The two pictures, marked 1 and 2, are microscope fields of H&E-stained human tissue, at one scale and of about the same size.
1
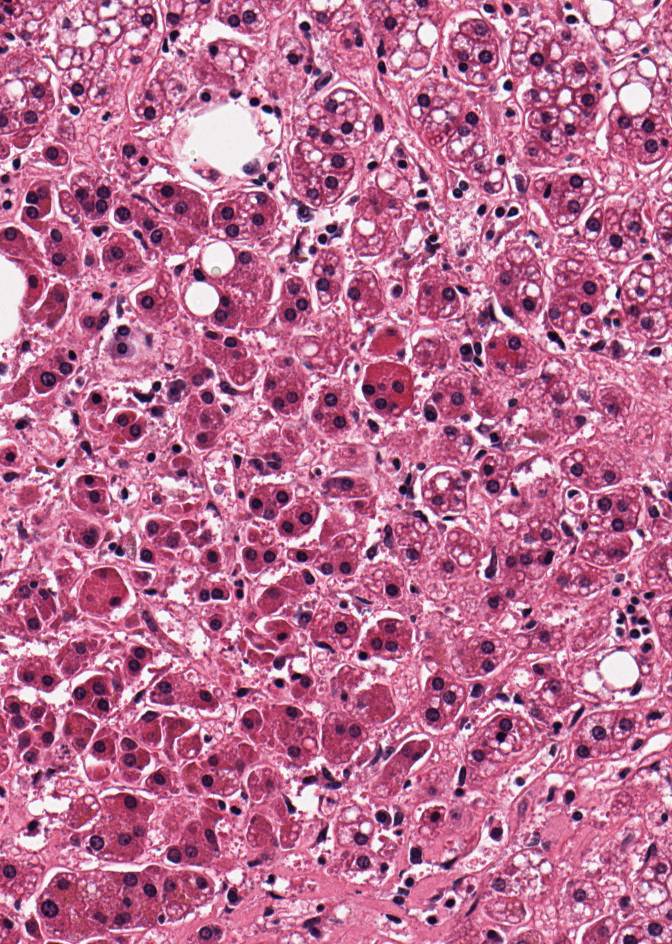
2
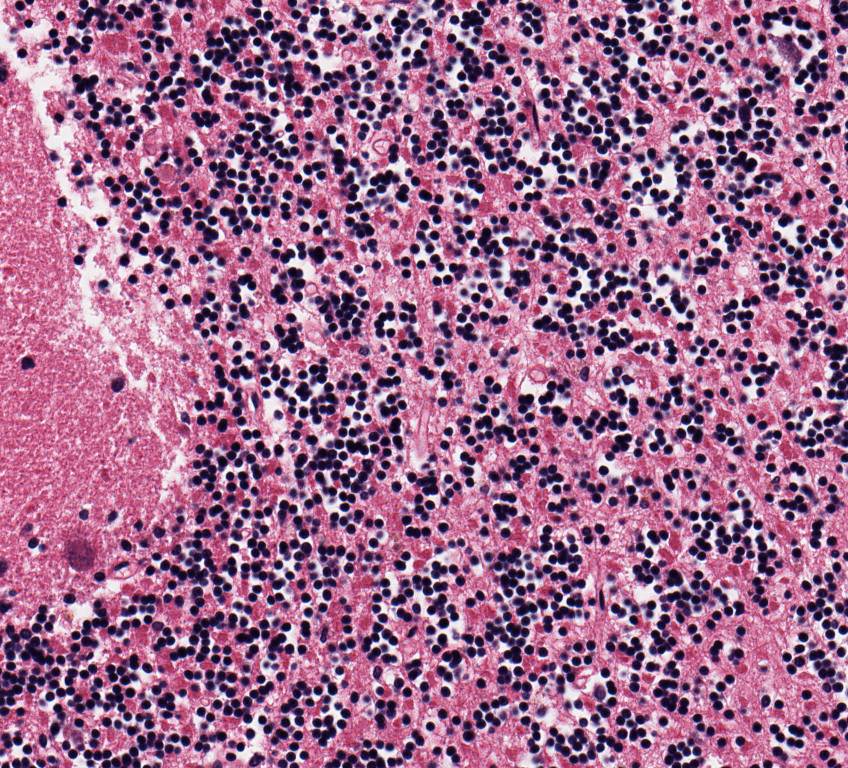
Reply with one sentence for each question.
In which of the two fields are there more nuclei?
It is picture 2 that has more nuclei in it.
